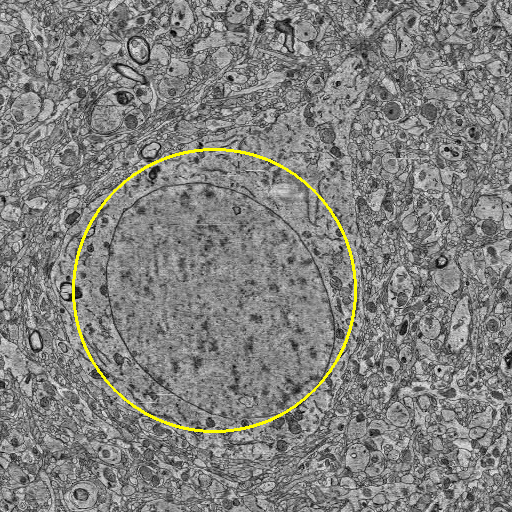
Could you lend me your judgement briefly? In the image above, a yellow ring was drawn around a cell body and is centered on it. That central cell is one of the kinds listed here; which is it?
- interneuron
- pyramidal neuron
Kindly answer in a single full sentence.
Going by the list, a pyramidal neuron is the kind at the ring's center in the picture.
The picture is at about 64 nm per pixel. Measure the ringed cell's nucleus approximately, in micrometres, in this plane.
Roughly 18 by 14 micrometres in this plane, for the nucleus of the ringed cell.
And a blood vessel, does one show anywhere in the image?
No, there is no blood vessel in the image.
